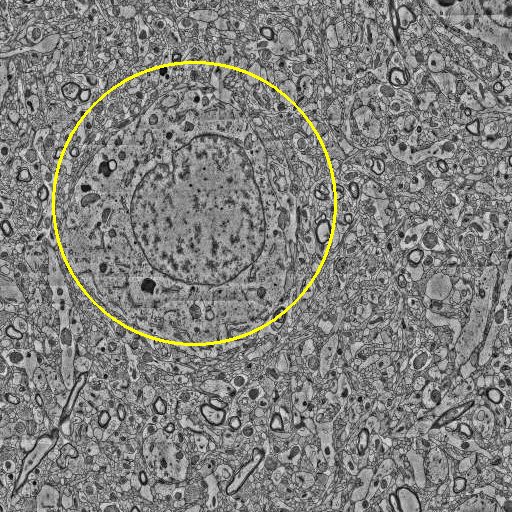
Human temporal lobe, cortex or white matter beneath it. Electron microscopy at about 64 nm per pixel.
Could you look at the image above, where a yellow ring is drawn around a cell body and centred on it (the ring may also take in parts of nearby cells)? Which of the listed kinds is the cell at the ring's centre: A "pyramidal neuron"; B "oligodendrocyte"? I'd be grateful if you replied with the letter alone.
A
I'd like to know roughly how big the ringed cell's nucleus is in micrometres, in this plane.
About 9 micrometres across in this plane, for the nucleus.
